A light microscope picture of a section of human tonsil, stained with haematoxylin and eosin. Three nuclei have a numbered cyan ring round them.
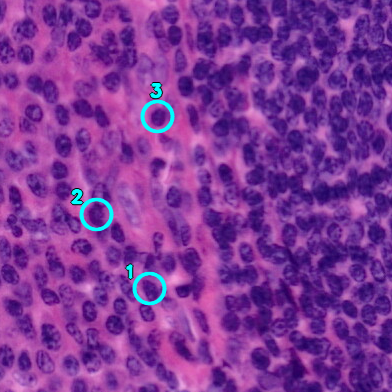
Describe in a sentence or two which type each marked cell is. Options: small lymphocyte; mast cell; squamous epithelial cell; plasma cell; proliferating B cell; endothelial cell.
Cells 1 and 2 are plasma cells. Cell 3 is an endothelial cell.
